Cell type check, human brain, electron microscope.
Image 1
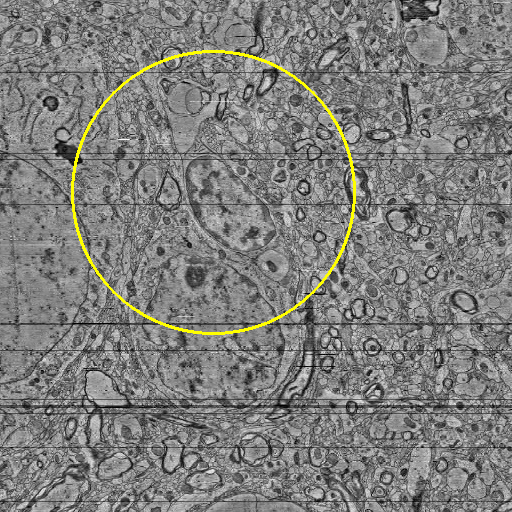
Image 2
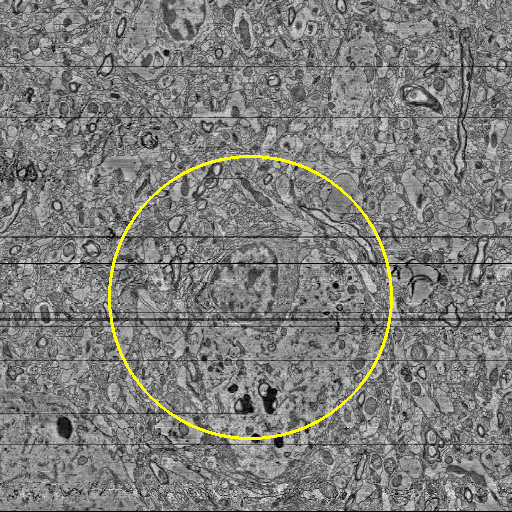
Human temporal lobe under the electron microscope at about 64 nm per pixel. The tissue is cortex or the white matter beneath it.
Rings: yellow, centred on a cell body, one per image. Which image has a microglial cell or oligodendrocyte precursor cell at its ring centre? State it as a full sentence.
The ring in Image 1 is centred on it.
